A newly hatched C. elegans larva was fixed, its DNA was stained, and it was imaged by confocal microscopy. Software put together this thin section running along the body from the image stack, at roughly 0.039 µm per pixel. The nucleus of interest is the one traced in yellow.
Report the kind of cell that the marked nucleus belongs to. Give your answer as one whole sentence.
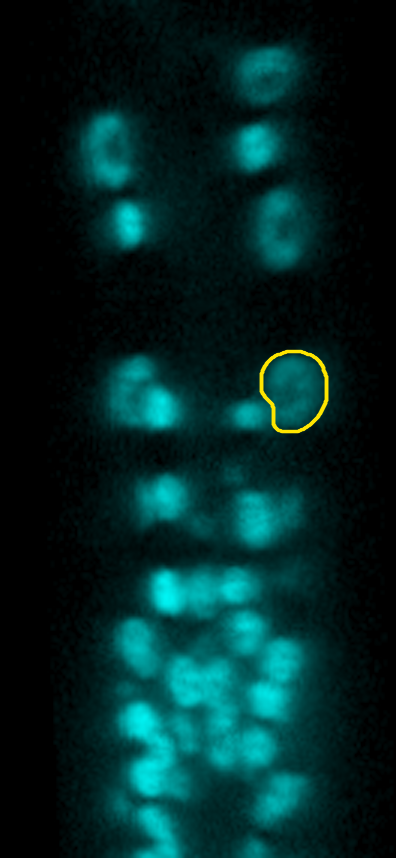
The marked cell is a hypodermal cell (hyp).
